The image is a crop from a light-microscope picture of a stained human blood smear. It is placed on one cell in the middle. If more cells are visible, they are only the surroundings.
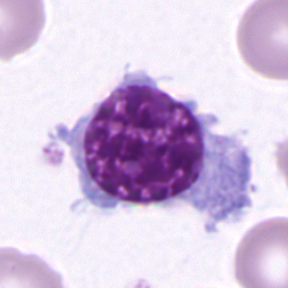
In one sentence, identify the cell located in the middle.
The cell marked by its central position in the crop is a plasma cell.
